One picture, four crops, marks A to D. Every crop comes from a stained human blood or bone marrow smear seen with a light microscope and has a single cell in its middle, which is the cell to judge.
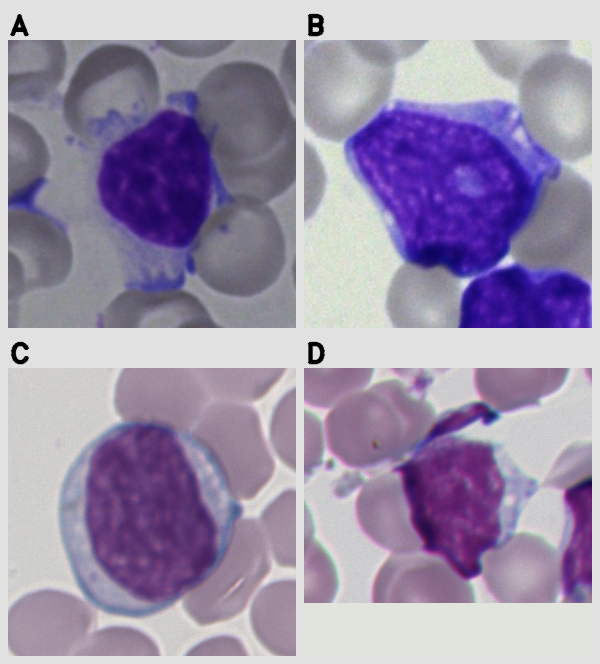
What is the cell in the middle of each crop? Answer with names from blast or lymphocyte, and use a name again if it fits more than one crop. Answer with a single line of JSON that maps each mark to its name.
{"A": "lymphocyte", "B": "blast", "C": "blast", "D": "lymphocyte"}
